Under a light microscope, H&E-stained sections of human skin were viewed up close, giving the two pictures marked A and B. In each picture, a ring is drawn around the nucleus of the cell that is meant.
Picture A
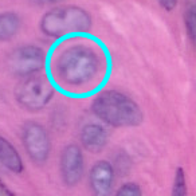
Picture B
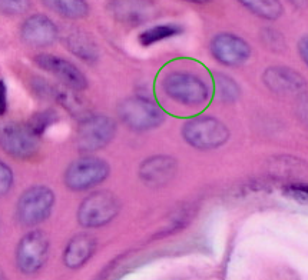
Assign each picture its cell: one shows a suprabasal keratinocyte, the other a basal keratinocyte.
A: basal keratinocyte
B: suprabasal keratinocyte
